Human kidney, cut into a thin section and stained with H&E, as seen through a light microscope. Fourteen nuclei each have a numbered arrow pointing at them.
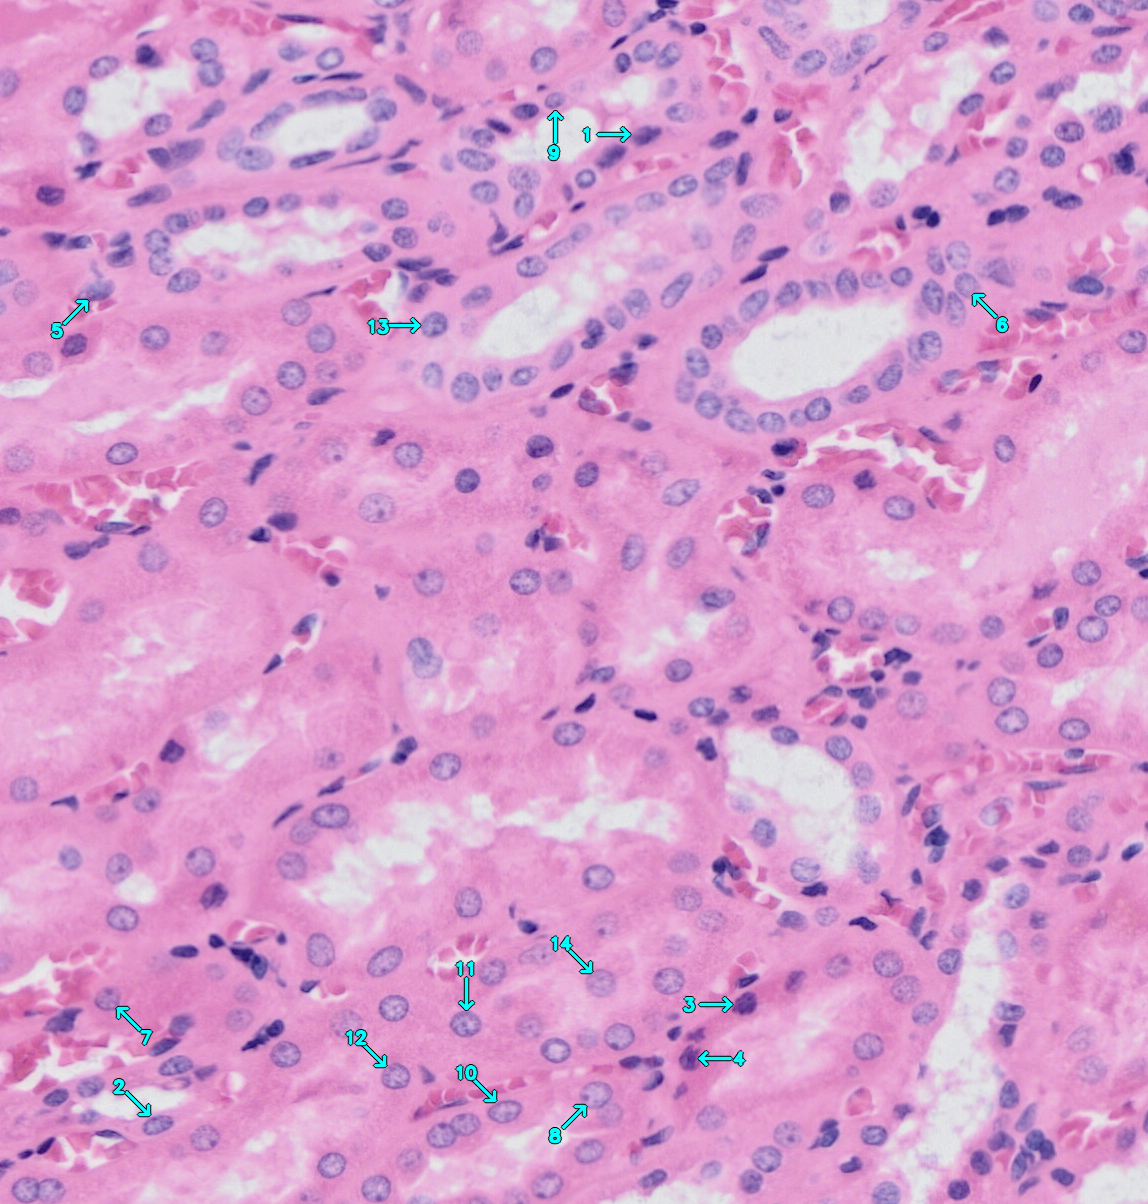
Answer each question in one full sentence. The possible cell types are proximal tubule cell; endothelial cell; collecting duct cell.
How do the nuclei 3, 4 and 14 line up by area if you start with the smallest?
Smallest first, the nuclei run 4, 3, 14.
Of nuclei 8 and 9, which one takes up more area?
Nucleus 8 covers more area, about 2.5 times as much as nucleus 9.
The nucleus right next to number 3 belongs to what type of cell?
Closest to number 3 lies the nucleus of an endothelial cell.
